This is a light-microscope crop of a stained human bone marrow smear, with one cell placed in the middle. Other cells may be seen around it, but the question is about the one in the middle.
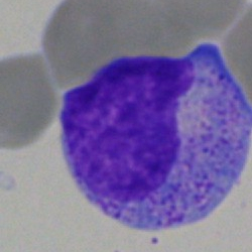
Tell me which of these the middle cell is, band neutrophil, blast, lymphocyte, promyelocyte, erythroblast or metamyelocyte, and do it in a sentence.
This crop is built around a promyelocyte at its centre.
